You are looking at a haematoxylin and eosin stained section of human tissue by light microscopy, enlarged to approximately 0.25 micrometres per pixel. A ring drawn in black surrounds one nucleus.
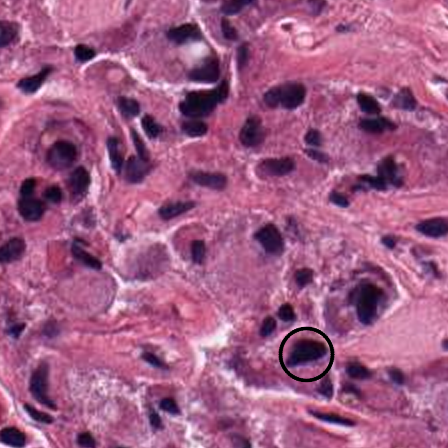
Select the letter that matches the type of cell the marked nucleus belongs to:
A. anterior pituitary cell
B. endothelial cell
A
